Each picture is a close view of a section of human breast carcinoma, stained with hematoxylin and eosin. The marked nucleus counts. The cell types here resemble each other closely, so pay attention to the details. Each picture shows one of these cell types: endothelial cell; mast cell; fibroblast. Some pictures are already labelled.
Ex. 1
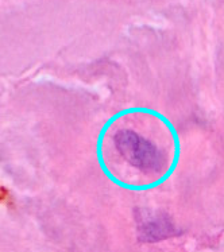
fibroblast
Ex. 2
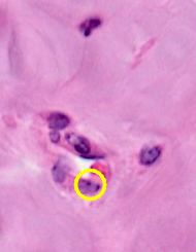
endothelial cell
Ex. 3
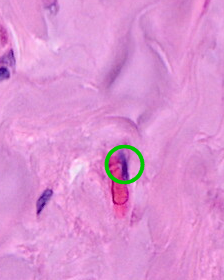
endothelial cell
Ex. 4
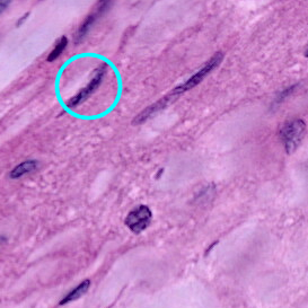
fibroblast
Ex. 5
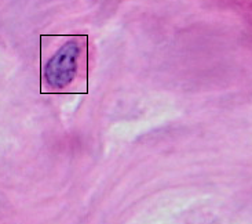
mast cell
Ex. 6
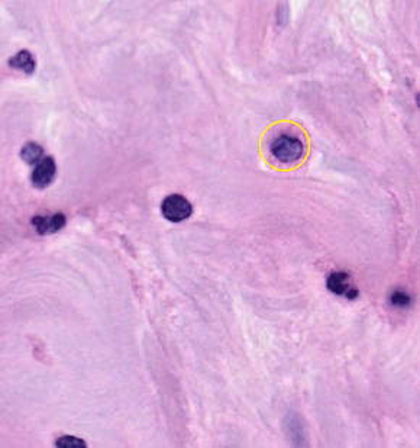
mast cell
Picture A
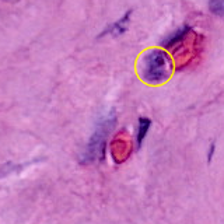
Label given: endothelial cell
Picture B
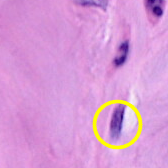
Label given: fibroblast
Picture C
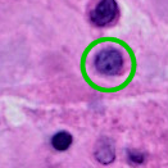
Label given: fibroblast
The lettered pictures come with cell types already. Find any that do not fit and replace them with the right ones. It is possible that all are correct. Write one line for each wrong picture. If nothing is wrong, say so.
C is labelled fibroblast; correct label: mast cell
